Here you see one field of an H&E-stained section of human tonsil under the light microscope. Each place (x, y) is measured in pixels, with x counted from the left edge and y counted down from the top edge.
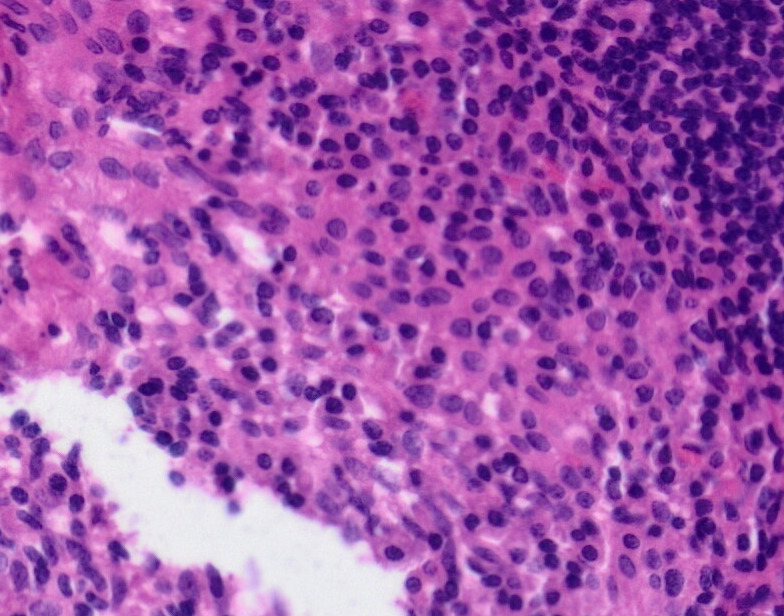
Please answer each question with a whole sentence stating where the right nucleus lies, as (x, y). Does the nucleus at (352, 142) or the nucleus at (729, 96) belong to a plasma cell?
The nucleus positioned at (352, 142) is the one that belongs to a plasma cell.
